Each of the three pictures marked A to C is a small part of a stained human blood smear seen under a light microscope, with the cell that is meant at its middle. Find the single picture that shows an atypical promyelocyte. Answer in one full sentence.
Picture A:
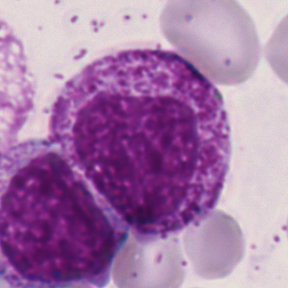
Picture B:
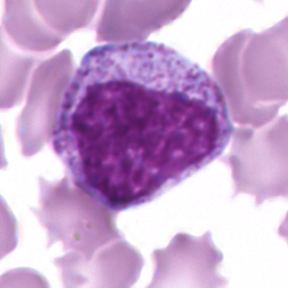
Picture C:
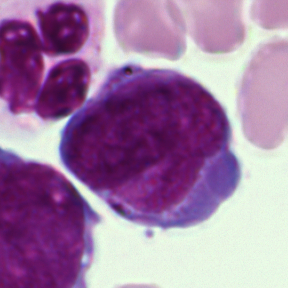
The atypical promyelocyte is the one in picture C.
